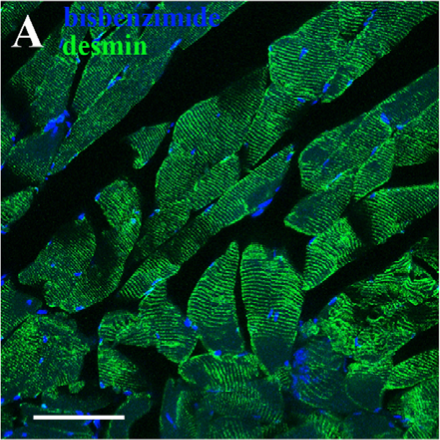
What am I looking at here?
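This is striated skeletal muscle cut obliquely, showing many large muscle fibres packed side by side. Each fibre is filled with green label arranged in fine, regular parallel bands, the cross-striations of the contractile apparatus. Small oval and elongated blue nuclei lie at the edges of the fibres and in the spaces between them, some closely applied to the fibre surface.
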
